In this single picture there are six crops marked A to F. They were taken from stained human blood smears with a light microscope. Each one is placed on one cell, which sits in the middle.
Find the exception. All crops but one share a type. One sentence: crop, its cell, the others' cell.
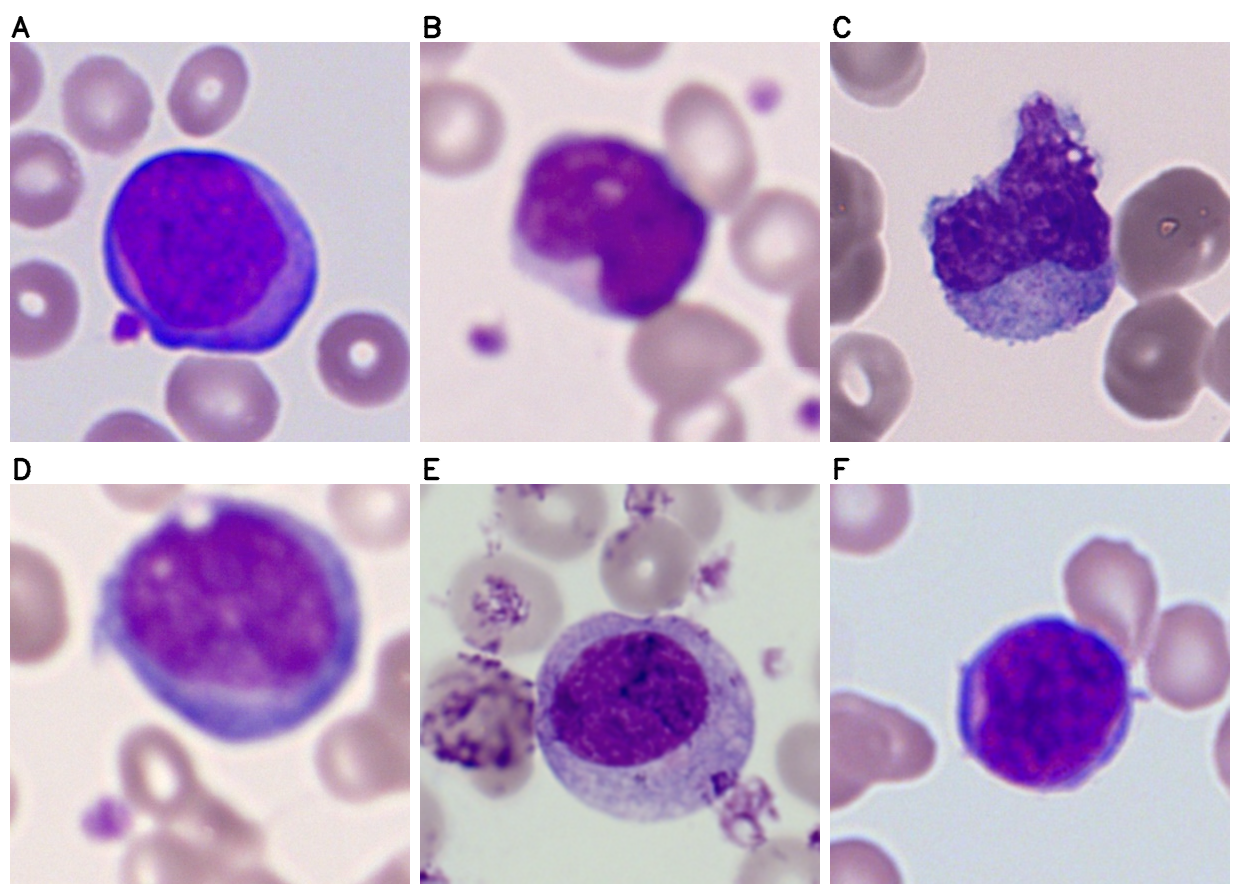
The others are all blasts; crop C is a monocyte.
